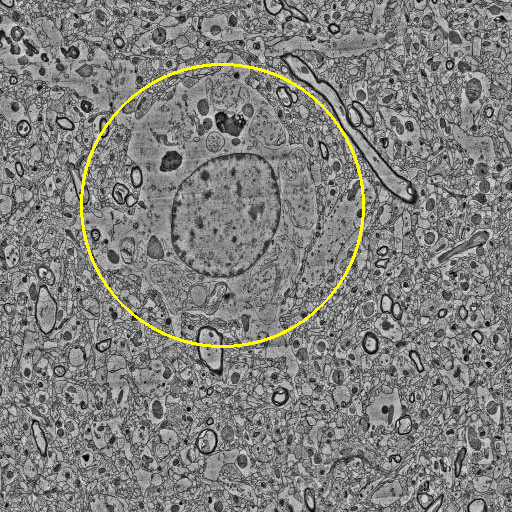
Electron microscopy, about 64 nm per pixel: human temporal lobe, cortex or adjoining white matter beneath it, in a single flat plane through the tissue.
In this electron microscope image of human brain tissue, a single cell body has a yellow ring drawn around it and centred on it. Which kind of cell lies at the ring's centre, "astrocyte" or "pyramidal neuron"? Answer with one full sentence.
It is an astrocyte whose cell body lies at the centre of the yellow ring here.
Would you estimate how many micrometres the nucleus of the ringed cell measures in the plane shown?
In this plane the nucleus measures roughly 8 by 7 micrometers.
